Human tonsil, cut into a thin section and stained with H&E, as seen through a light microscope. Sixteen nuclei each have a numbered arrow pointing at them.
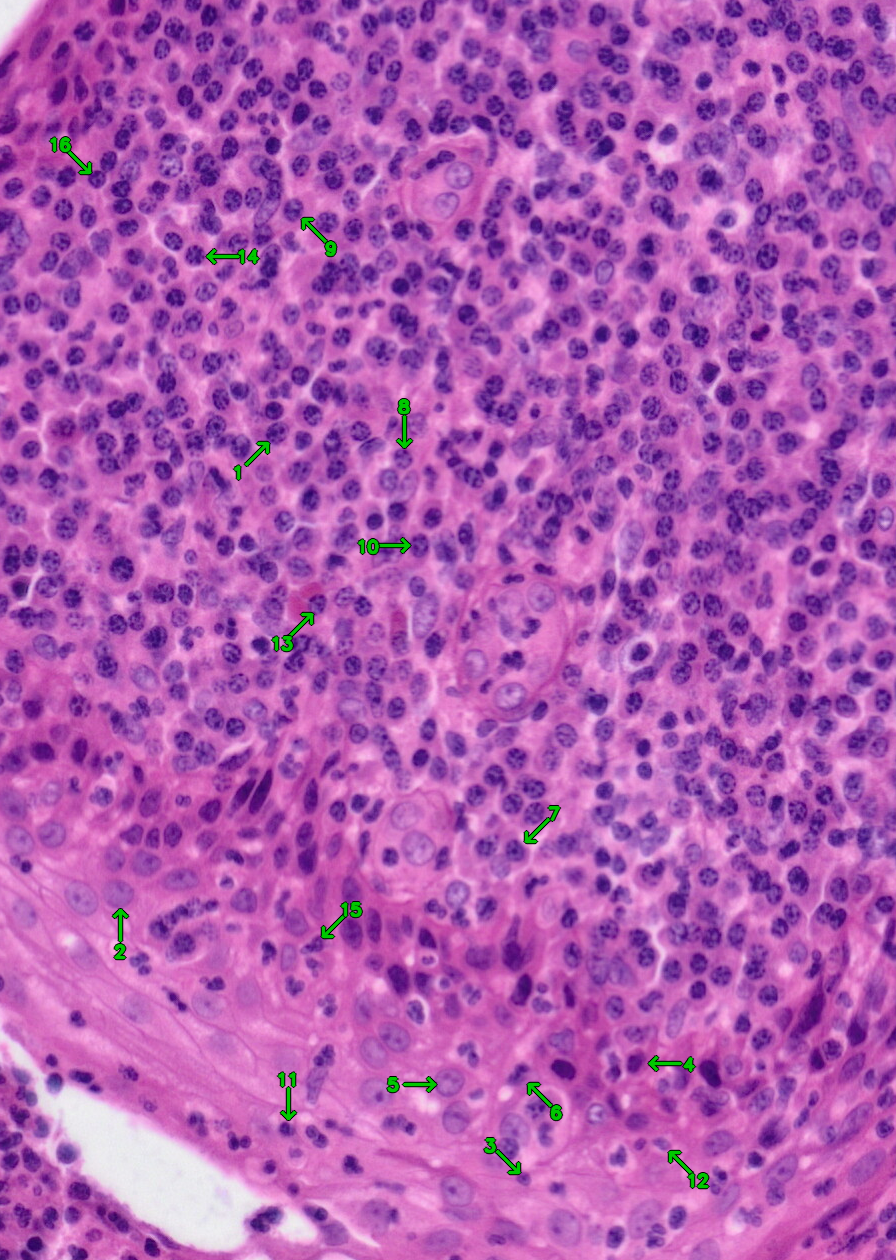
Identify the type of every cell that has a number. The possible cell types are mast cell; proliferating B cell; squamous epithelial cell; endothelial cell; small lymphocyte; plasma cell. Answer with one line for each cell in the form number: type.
1: plasma cell
2: squamous epithelial cell
3: squamous epithelial cell
4: squamous epithelial cell
5: squamous epithelial cell
6: squamous epithelial cell
7: plasma cell
8: plasma cell
9: plasma cell
10: plasma cell
11: squamous epithelial cell
12: squamous epithelial cell
13: plasma cell
14: plasma cell
15: squamous epithelial cell
16: plasma cell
